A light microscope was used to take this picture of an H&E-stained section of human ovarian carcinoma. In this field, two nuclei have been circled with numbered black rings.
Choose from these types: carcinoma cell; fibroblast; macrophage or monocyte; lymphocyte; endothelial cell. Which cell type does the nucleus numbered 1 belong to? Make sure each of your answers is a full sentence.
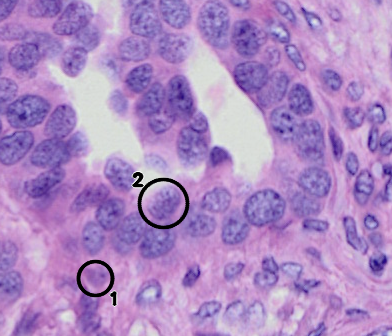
The cell whose nucleus carries the number 1 is a fibroblast.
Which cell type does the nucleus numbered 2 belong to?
The cell that goes by number 2 is a carcinoma cell.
